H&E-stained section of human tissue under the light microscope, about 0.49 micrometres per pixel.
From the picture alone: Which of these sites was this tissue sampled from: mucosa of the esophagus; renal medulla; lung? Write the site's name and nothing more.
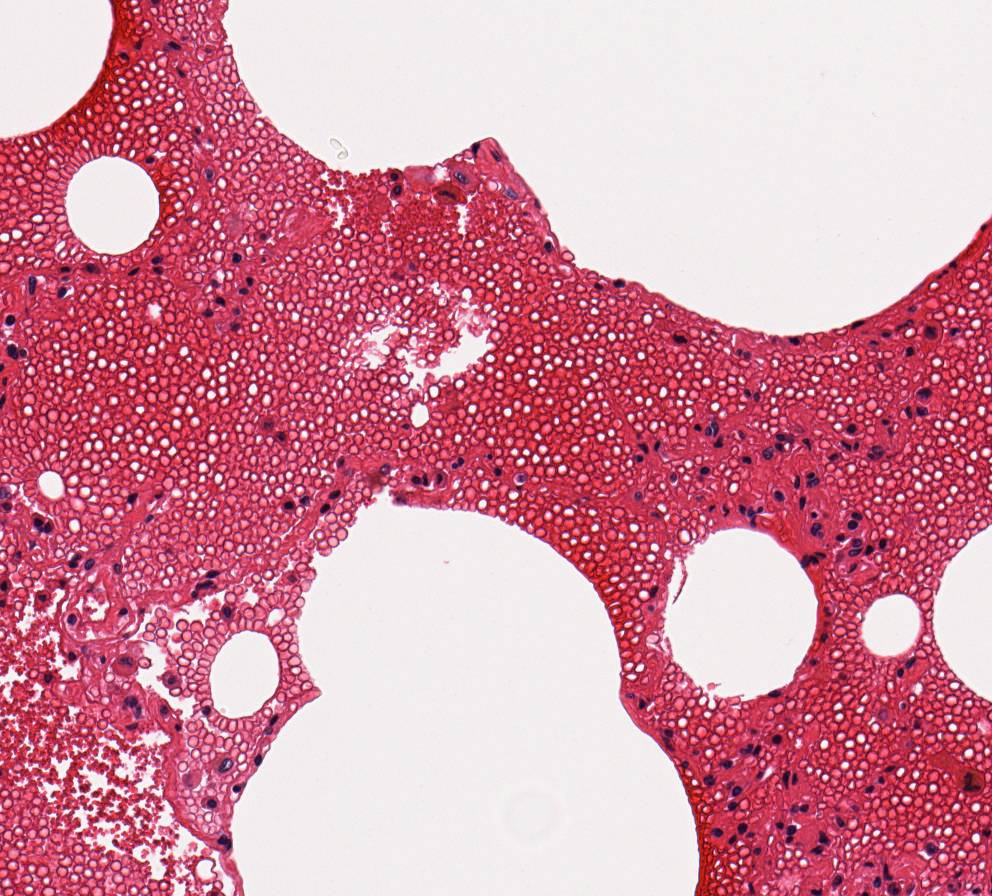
lung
